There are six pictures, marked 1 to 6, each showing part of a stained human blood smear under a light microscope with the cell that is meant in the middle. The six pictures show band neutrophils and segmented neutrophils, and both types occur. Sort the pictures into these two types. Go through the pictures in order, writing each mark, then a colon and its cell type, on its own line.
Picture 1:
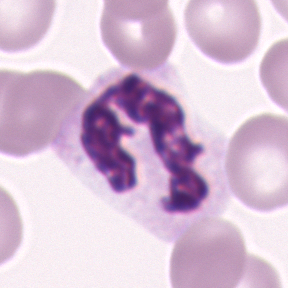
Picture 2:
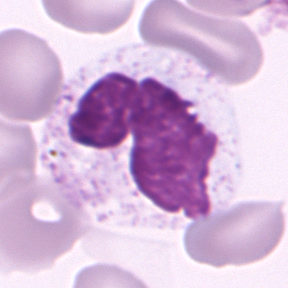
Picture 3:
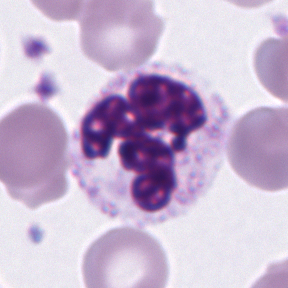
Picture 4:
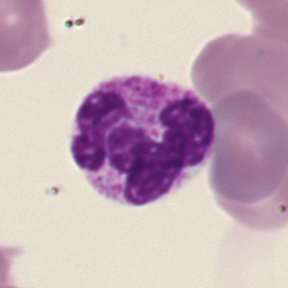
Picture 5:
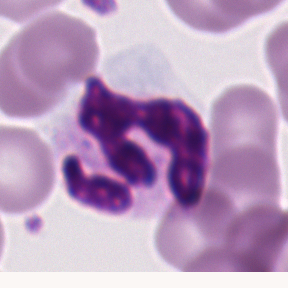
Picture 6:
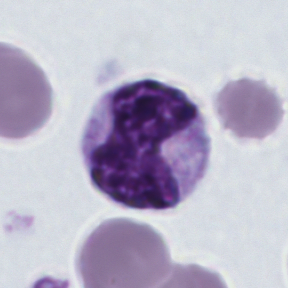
1: segmented neutrophil
2: band neutrophil
3: segmented neutrophil
4: segmented neutrophil
5: segmented neutrophil
6: band neutrophil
